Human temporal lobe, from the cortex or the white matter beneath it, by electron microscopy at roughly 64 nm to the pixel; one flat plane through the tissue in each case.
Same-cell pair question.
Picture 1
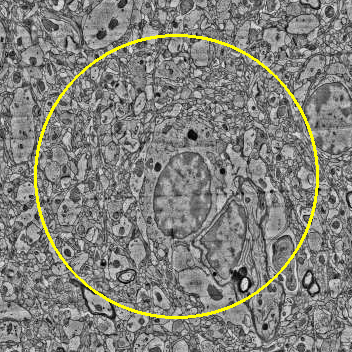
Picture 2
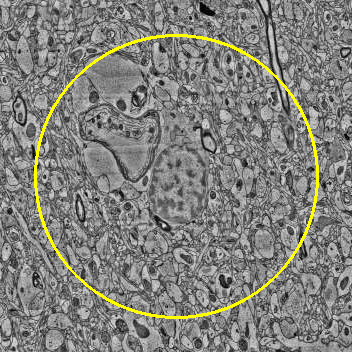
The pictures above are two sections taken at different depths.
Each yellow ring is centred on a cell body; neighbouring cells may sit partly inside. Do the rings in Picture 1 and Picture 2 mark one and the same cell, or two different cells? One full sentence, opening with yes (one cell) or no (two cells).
No, the first ring and the second ring mark different cells.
